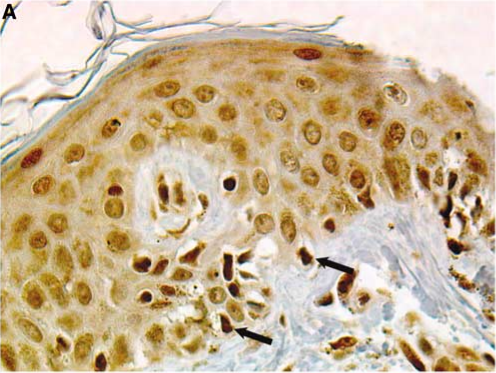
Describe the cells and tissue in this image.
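This is stratified epidermis with keratinocytes arranged in layers under a thin flaky keratin surface. The keratinocytes have oval nuclei stained brown, with lighter brown cytoplasm. At the base of the epidermis, next to the pale connective tissue below, small cells with very dark brown nuclei are clustered, and arrows point to some of them. A small rounded pale area of connective tissue projects up into the cell layer.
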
